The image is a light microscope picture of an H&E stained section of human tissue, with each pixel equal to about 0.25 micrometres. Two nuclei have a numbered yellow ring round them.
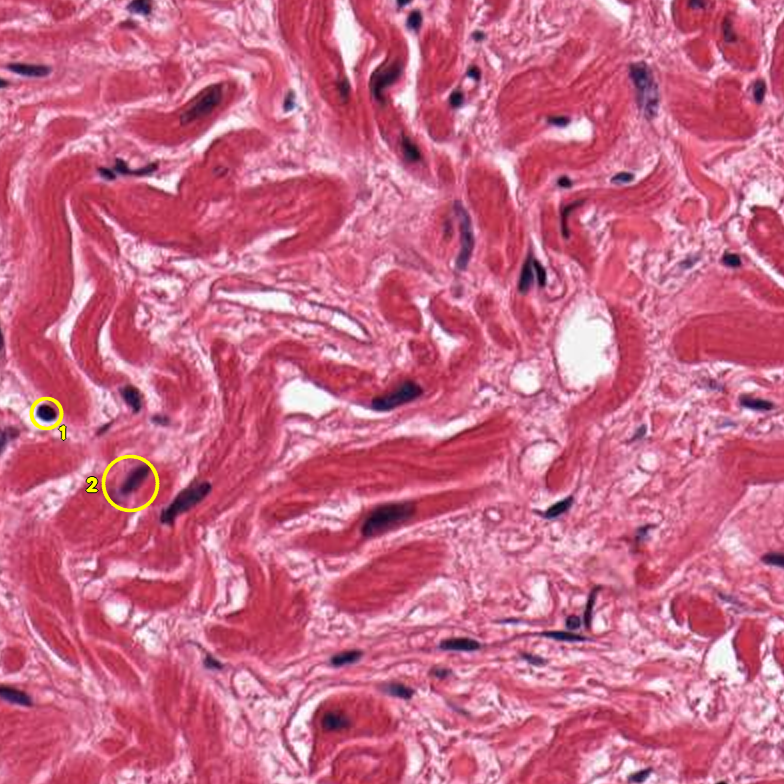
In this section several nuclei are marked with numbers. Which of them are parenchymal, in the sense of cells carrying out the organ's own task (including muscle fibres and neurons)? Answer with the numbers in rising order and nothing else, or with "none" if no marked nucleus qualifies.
2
